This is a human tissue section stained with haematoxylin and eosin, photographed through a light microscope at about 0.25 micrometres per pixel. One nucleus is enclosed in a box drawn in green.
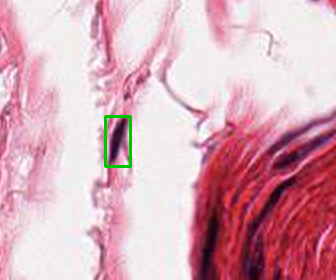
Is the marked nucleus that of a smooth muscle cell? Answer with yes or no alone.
no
